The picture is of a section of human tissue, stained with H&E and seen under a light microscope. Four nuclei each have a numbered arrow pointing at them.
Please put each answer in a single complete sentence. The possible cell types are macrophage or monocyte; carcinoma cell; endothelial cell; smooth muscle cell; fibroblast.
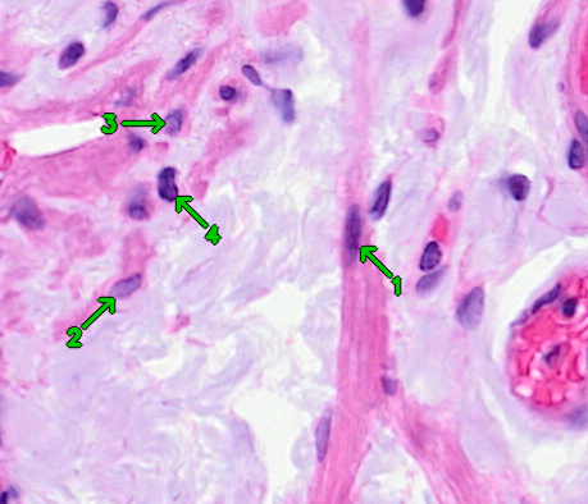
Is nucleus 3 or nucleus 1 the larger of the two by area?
At about 2.5 times the area of nucleus 3, nucleus 1 is the larger of the two.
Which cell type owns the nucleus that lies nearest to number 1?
It is a fibroblast whose nucleus is nearest to number 1.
